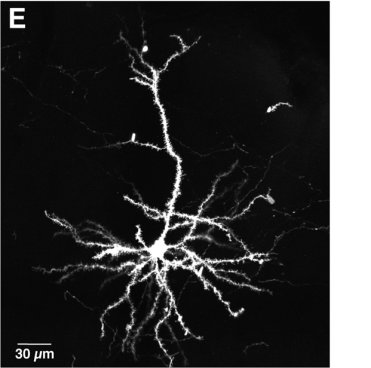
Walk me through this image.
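A single brightly labeled neuron stands alone on a dark background, with a compact cell body from which one thick dendrite ascends and branches toward the top, while numerous thinner dendrites spread out in all directions from the base. The dendrites bear many small protrusions along their length. This is the shape of a cortical pyramidal neuron with its apical and basal dendrites.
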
